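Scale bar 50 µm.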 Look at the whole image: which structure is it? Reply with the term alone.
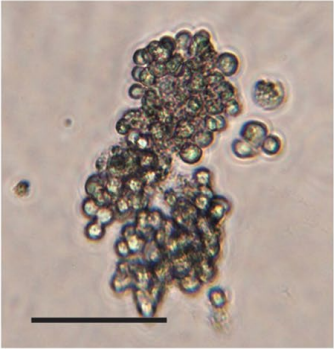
Loose aggregates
